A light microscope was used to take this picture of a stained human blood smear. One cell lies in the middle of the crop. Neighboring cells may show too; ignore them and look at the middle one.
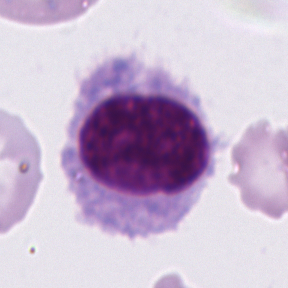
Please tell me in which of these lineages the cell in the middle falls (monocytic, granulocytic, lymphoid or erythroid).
lymphoid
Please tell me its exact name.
hairy cell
